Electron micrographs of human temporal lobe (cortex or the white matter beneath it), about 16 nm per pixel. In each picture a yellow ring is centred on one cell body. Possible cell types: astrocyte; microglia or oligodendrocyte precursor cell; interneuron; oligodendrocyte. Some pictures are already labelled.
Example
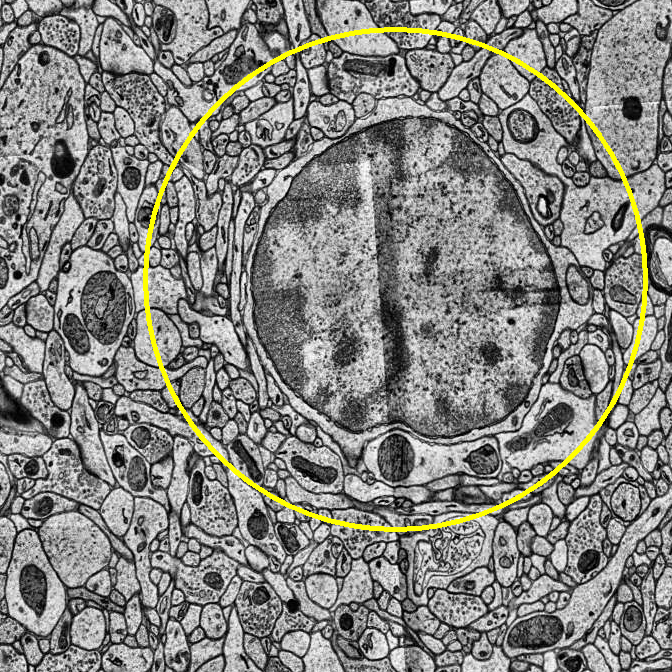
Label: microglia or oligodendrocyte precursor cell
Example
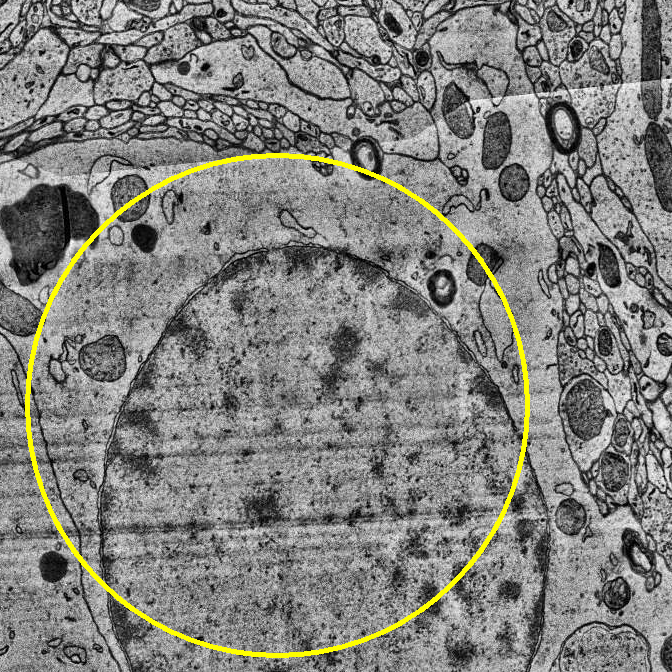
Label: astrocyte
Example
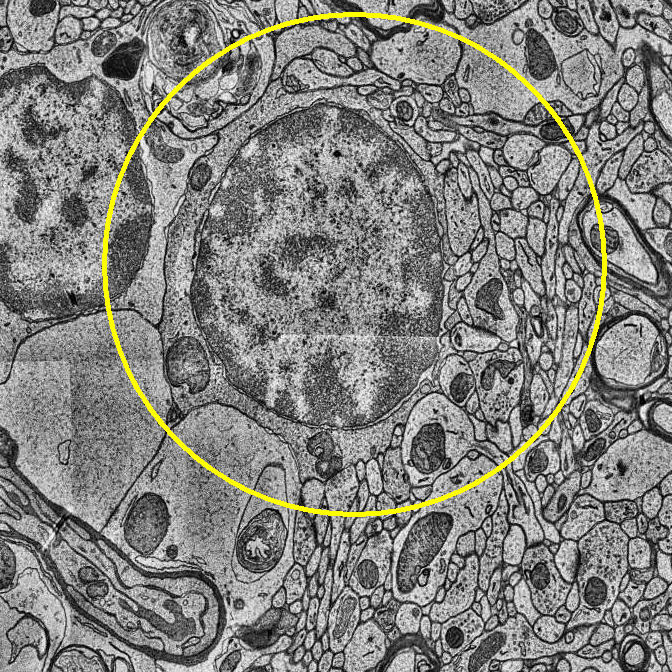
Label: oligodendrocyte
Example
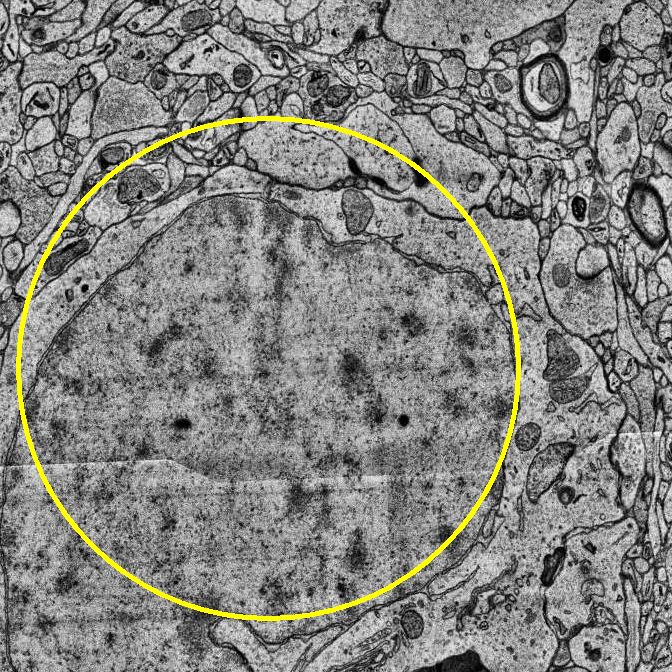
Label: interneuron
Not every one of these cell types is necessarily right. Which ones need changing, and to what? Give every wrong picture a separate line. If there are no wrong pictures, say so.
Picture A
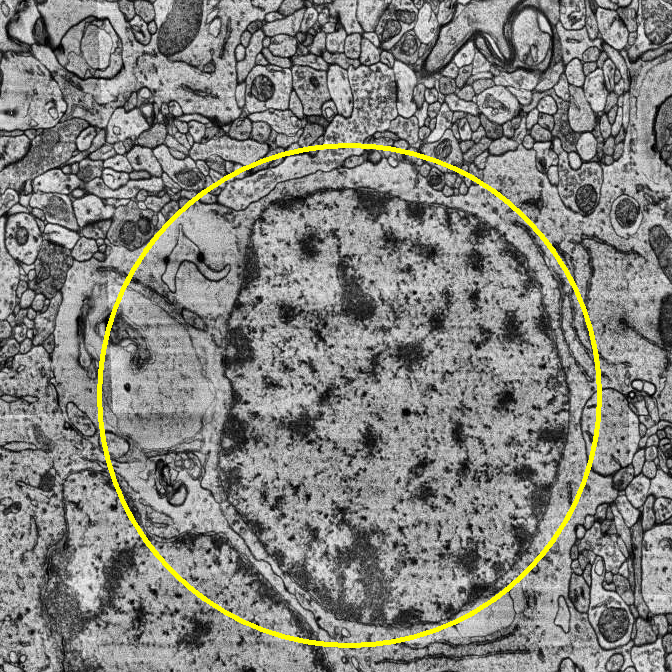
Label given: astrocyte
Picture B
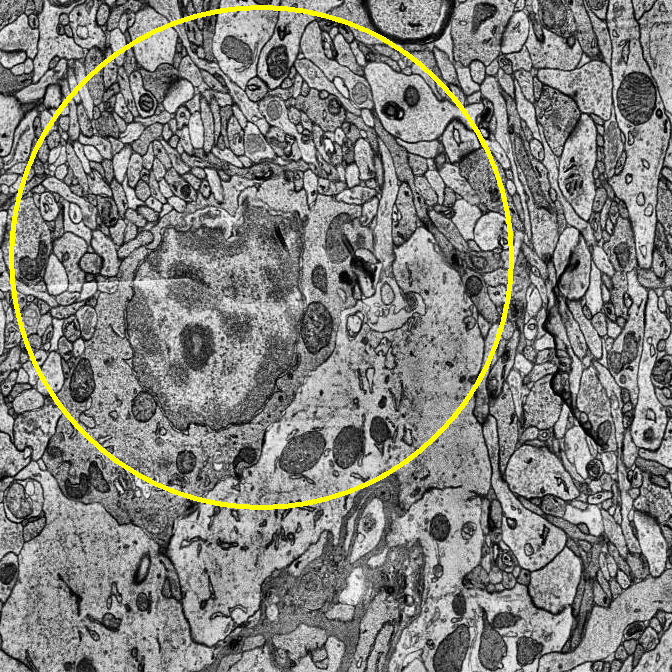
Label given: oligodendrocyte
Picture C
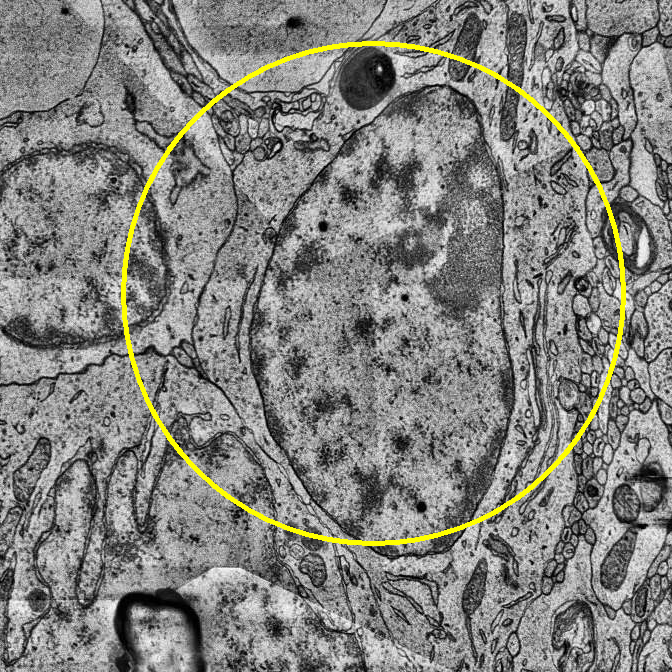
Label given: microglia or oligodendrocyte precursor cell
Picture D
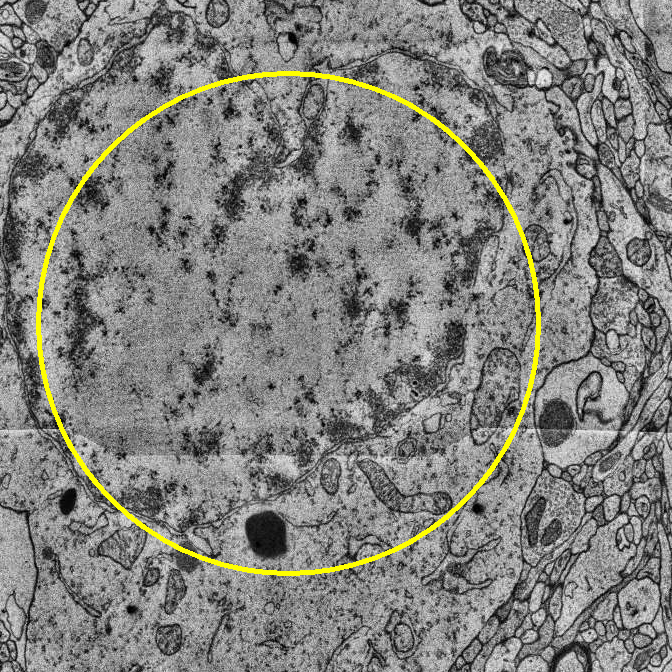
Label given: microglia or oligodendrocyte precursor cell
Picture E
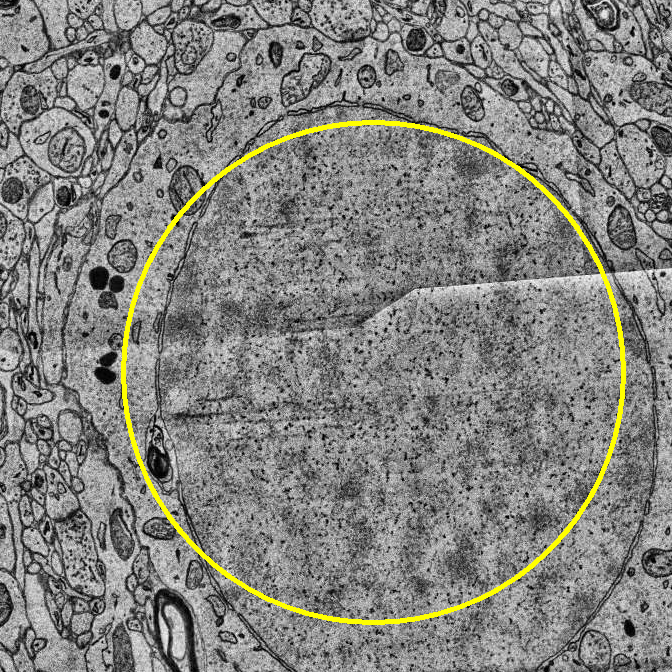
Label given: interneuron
Wrong: D (microglia or oligodendrocyte precursor cell); correct: interneuron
